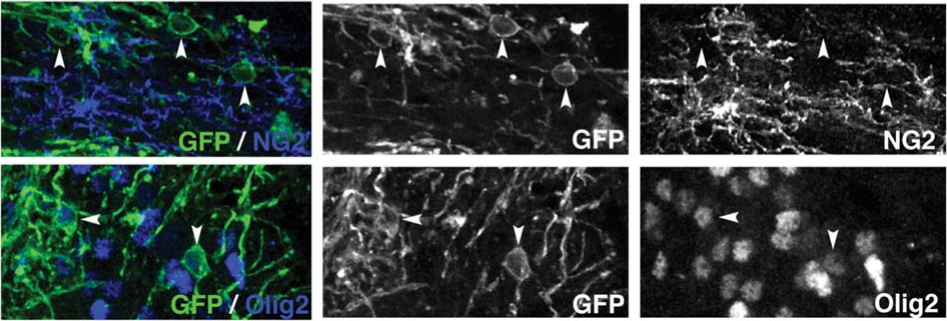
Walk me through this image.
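The arrowheads mark small, rounded cell bodies outlined in green, each giving off fine, thread-like processes that branch and run among neighbouring fibres. In the top row the blue channel shows a dense meshwork of fine, beaded processes belonging to other cells, and the marked green cell bodies do not coincide with it. In the bottom row the blue channel shows rounded nuclei scattered through the field, and the marked green cells sit on such nuclei, so their bodies enclose a labelled nucleus.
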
